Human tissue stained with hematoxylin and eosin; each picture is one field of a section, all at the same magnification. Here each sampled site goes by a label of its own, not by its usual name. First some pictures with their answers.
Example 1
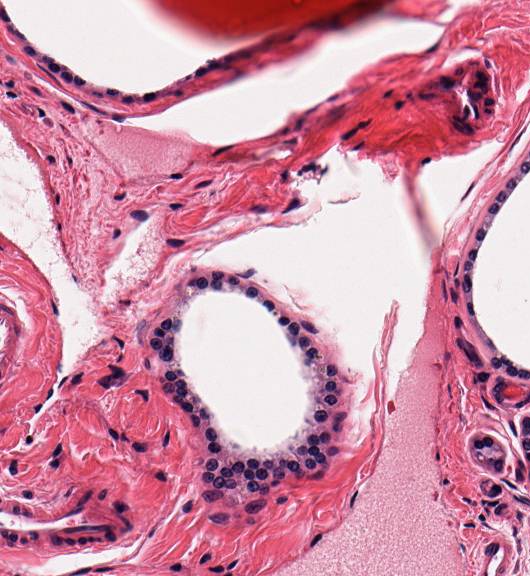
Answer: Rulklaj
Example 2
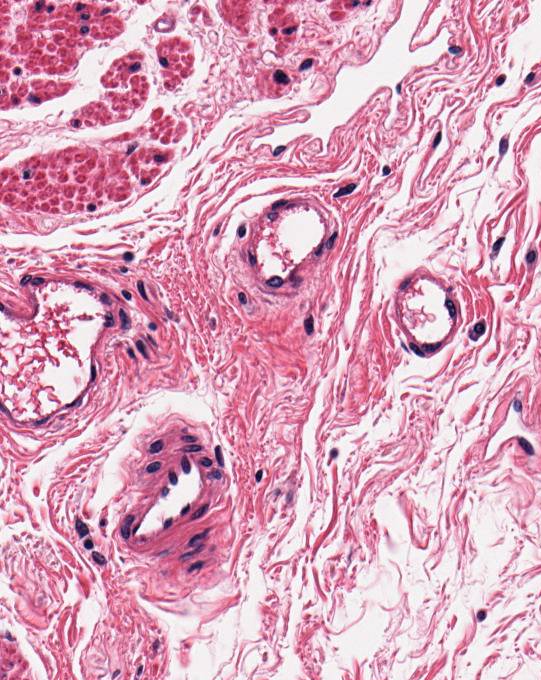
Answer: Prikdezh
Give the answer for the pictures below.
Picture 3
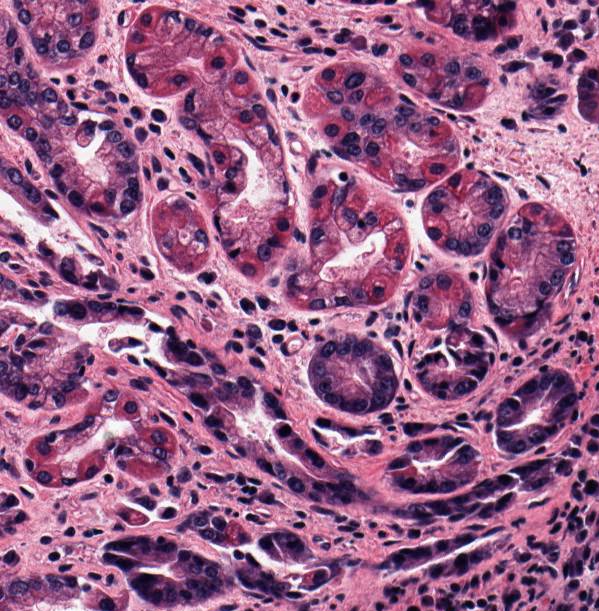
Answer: Prikdezh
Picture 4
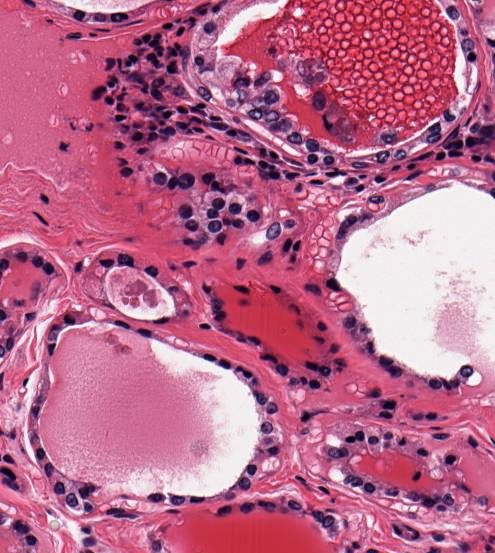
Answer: Rulklaj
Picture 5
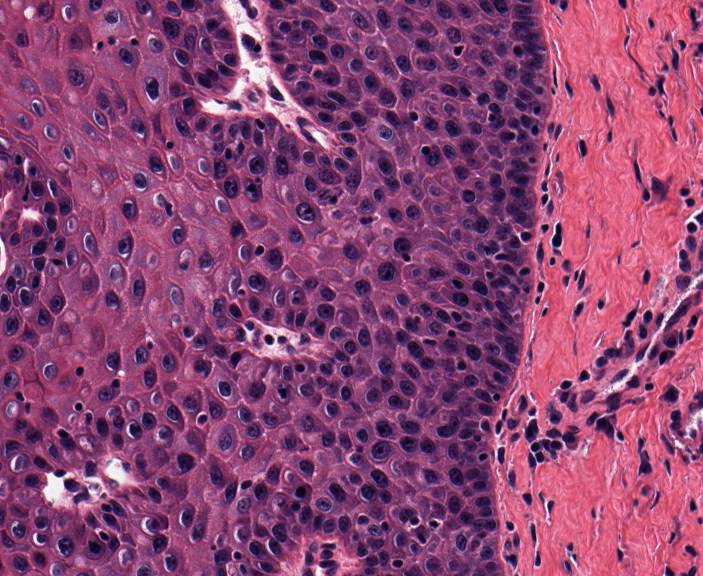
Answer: Prikdezh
